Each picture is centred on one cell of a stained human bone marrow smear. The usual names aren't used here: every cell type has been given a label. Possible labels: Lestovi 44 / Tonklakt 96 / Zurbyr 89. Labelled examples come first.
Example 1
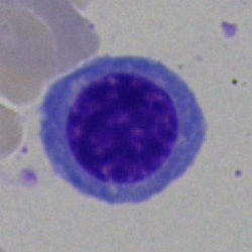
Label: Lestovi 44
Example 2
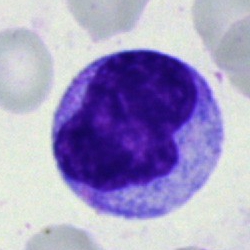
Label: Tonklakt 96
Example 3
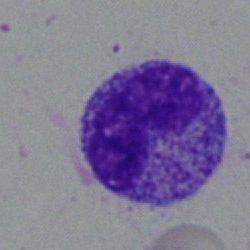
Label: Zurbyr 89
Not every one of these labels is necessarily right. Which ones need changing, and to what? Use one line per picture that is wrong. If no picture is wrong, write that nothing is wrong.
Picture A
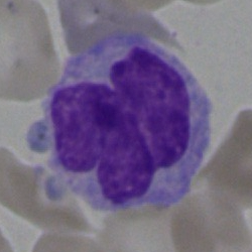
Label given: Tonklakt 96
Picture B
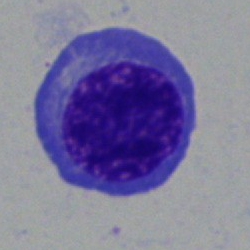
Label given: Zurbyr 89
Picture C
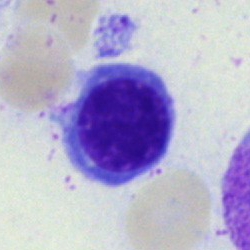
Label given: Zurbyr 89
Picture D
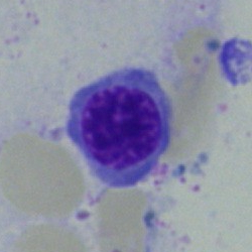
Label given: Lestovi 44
B is labelled Zurbyr 89; correct label: Lestovi 44
C is labelled Zurbyr 89; correct label: Lestovi 44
